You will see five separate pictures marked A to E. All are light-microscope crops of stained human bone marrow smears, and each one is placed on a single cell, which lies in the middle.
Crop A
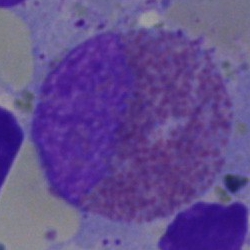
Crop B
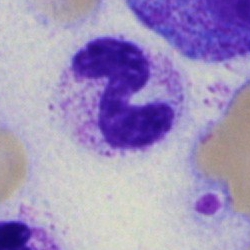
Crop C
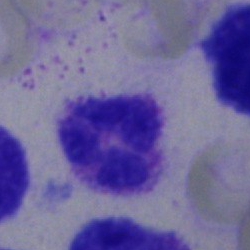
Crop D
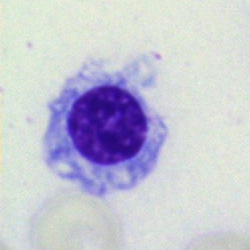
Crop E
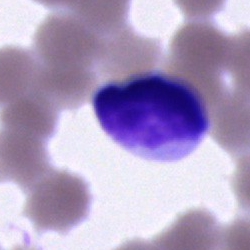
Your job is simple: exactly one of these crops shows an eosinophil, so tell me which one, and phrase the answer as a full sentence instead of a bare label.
On review of the set, crop A is the one showing an eosinophil.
